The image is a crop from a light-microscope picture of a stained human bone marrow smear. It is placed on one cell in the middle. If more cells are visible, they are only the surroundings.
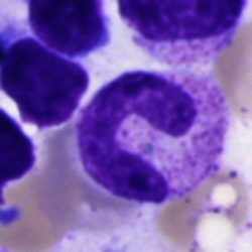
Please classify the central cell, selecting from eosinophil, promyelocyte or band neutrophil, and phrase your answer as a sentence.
In this crop, the cell at the very middle is a band neutrophil.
